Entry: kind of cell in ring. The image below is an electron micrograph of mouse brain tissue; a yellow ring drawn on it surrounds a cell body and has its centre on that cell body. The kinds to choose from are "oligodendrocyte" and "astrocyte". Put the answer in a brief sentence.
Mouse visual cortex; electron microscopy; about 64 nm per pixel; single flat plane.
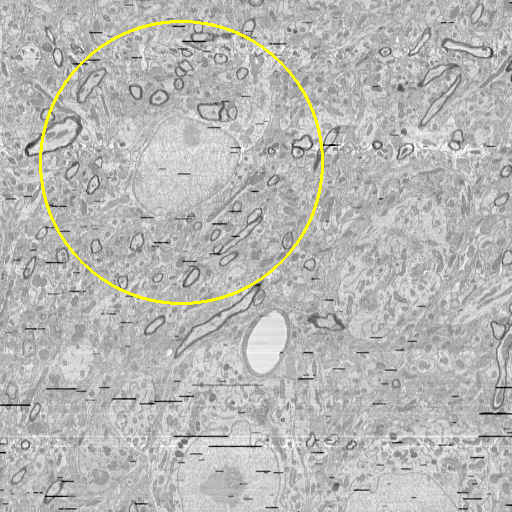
The ring has been drawn around an astrocyte.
